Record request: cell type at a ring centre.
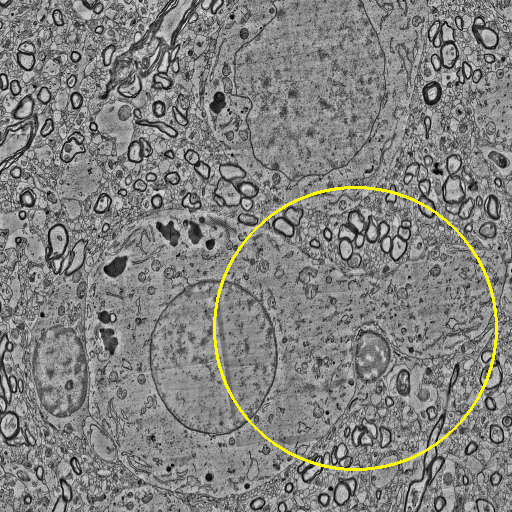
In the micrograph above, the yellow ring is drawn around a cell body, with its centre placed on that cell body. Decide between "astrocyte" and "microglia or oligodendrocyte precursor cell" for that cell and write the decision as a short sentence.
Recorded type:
The cell centred in the yellow ring is a microglial cell or oligodendrocyte precursor cell.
